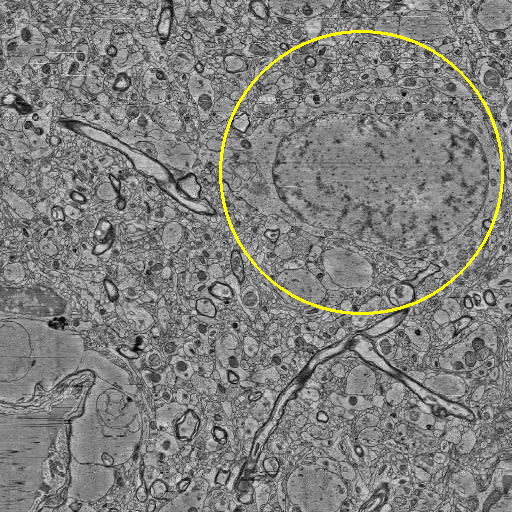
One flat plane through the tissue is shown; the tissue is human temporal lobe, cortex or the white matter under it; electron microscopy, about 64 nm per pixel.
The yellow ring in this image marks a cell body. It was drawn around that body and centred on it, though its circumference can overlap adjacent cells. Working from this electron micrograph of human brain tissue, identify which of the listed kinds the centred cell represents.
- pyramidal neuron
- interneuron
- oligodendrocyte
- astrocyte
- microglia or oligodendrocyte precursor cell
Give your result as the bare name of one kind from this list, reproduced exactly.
interneuron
